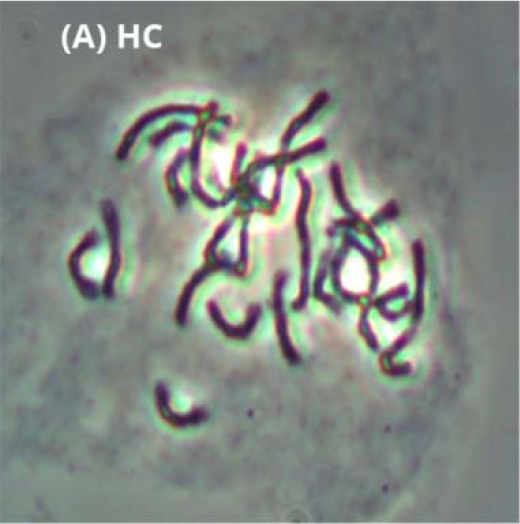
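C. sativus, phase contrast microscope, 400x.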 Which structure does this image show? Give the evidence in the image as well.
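Many dark, curved rod-shaped bodies are clustered within a pale cell outline. Several rods overlap near the centre while others lie apart at the edge. The answer: mitotic chromosome spreads.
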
